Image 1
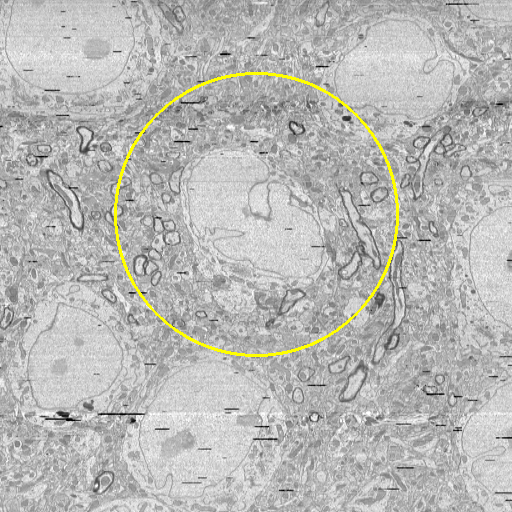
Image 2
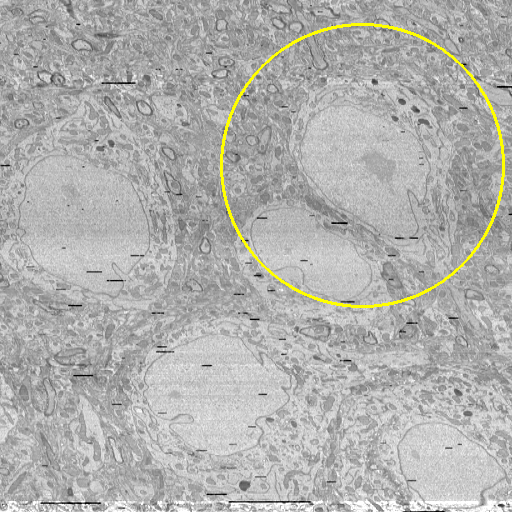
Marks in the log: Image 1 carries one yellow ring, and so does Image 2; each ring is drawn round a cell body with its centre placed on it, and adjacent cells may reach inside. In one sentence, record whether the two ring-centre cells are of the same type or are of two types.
The two cells at the ring centres, one in each image, are of the same type.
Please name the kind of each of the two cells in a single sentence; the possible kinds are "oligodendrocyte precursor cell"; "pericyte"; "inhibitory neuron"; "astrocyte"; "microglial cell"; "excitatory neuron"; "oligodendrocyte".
In each picture the ringed cell is an inhibitory neuron.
